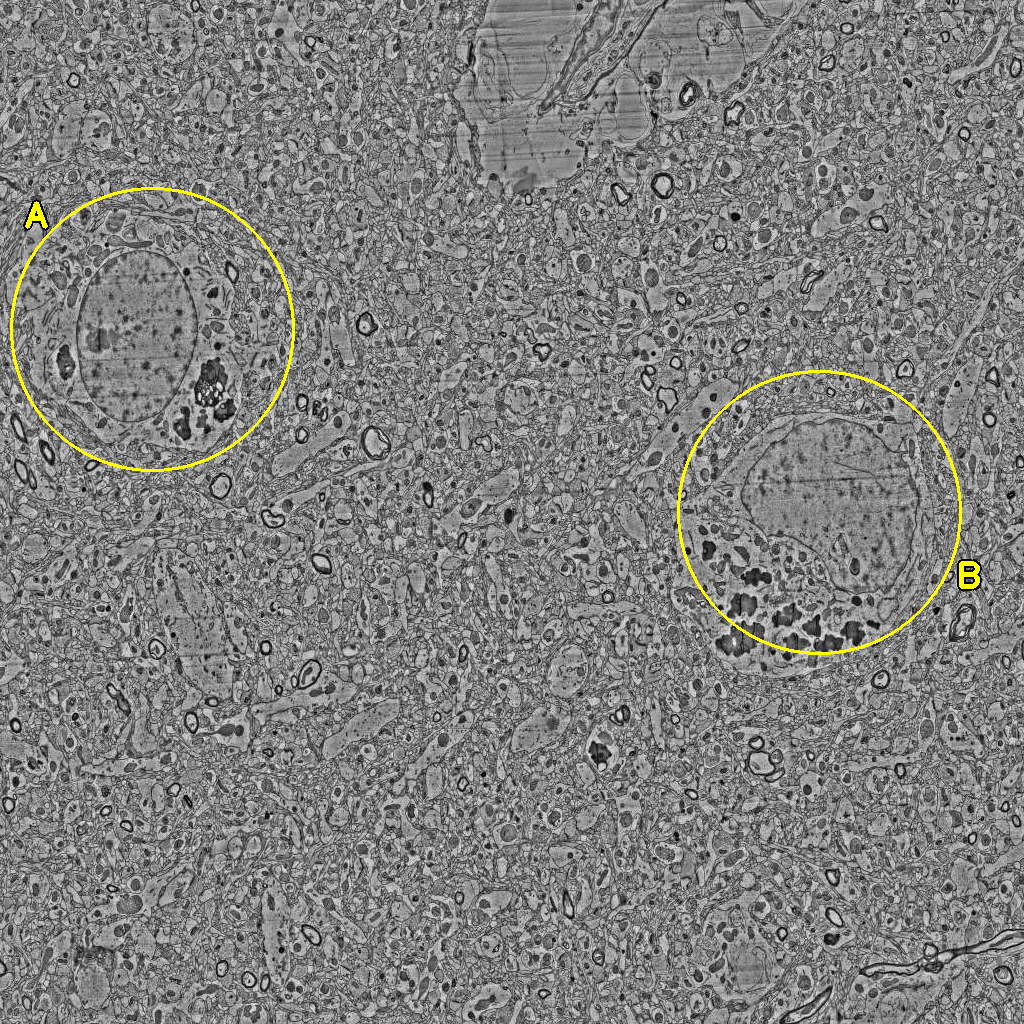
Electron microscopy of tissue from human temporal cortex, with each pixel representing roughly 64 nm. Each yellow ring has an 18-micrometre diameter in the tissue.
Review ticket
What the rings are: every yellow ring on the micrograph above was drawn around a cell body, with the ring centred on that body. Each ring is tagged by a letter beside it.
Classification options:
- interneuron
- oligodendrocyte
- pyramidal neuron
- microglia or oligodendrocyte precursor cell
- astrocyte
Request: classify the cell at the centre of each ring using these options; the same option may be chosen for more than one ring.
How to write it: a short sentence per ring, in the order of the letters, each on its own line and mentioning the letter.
The cell centred in ring A is an astrocyte.
The cell centred in ring B is an interneuron.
